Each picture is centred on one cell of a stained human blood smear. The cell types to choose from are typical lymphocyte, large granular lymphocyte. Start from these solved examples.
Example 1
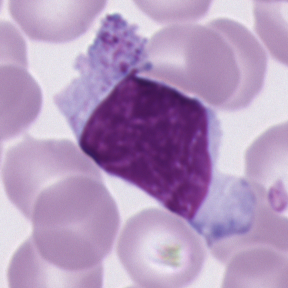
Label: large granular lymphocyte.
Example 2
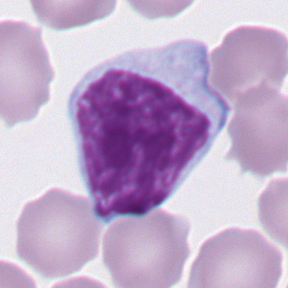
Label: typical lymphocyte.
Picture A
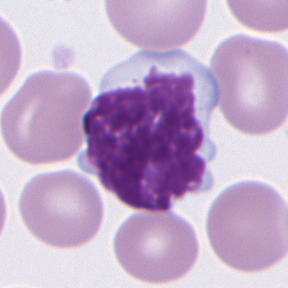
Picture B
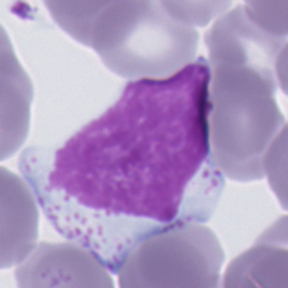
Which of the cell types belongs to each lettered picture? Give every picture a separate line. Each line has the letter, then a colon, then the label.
A: typical lymphocyte.
B: large granular lymphocyte.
